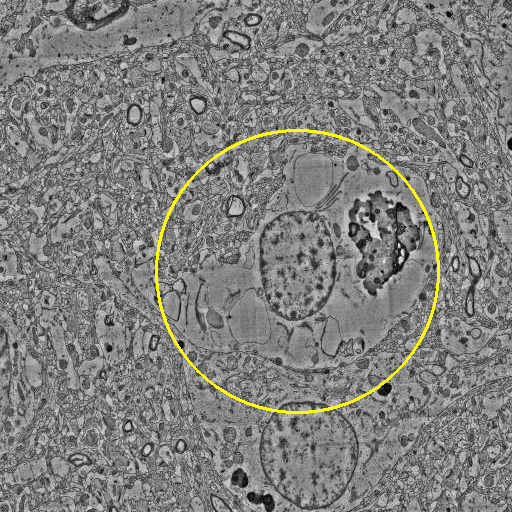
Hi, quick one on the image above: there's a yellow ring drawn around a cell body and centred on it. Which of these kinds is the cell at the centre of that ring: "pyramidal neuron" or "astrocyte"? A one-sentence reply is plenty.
The cell at the centre of the ring is an astrocyte.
